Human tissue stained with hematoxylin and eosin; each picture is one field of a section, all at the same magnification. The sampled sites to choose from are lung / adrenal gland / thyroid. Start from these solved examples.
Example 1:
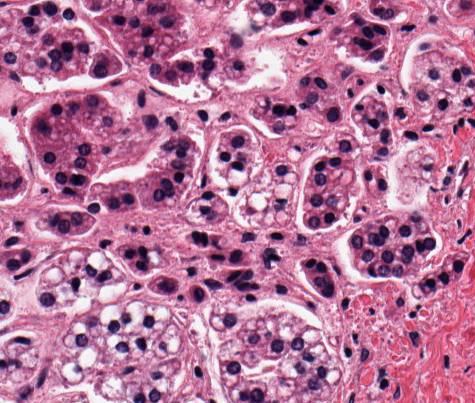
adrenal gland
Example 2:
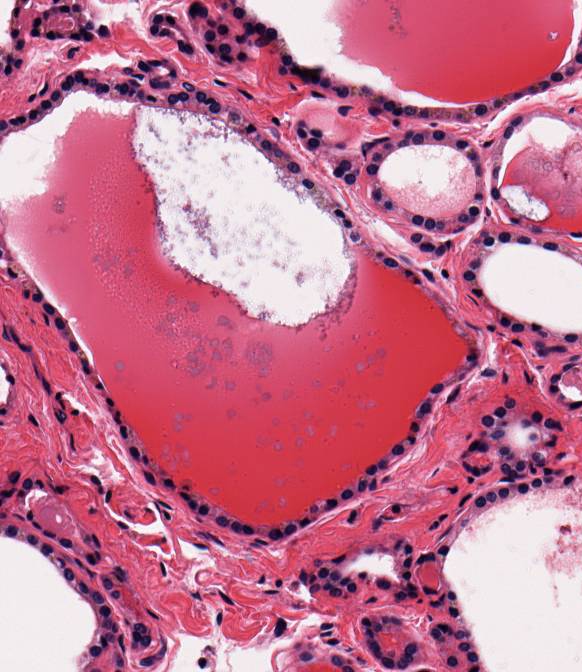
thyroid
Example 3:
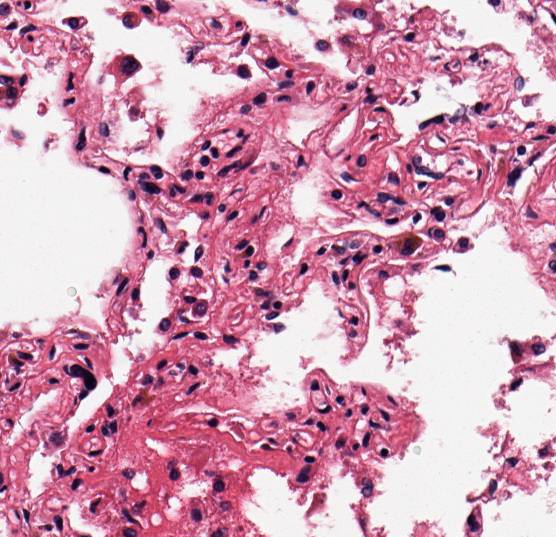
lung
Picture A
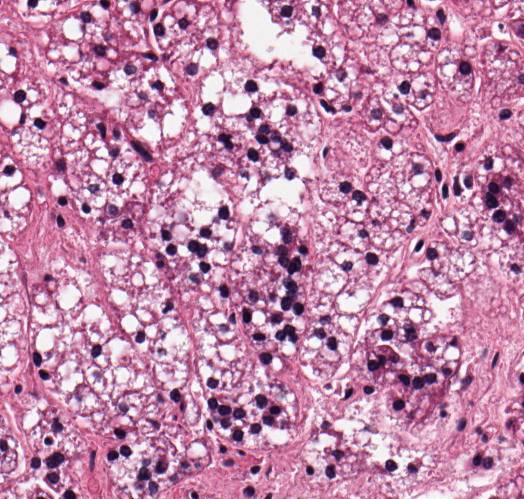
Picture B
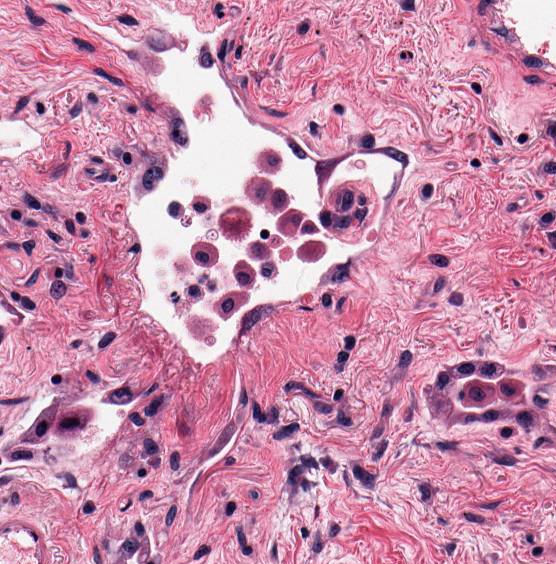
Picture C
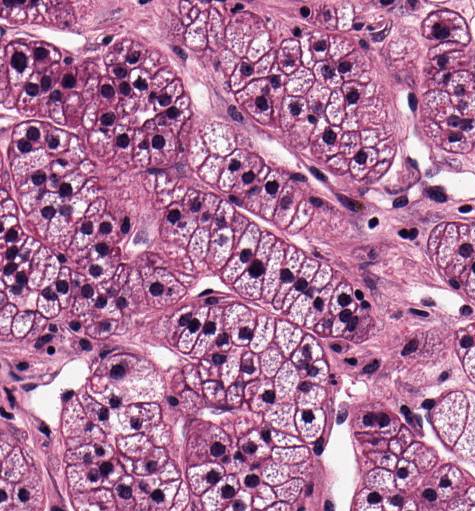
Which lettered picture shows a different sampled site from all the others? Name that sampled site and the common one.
B (lung) is the exception; every other picture is adrenal gland.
